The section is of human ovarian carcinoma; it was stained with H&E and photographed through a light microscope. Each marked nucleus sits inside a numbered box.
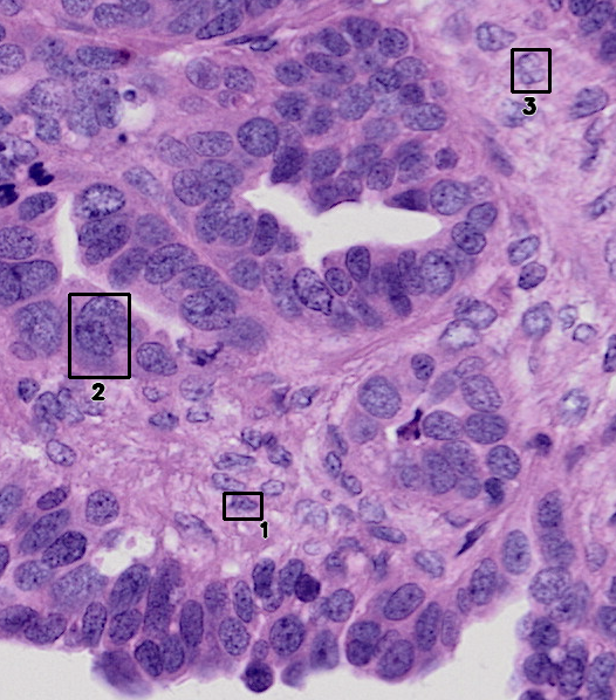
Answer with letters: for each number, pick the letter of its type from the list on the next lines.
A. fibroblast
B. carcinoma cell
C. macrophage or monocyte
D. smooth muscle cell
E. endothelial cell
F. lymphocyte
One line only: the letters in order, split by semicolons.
A; B; A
